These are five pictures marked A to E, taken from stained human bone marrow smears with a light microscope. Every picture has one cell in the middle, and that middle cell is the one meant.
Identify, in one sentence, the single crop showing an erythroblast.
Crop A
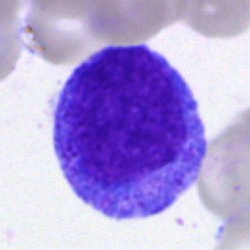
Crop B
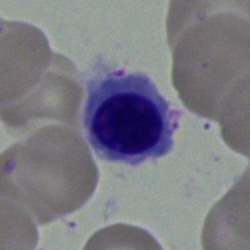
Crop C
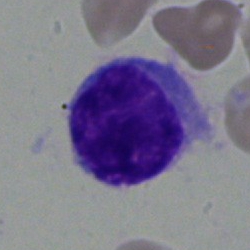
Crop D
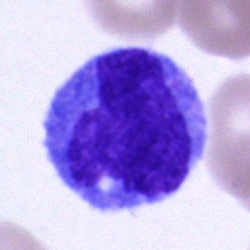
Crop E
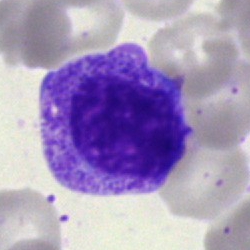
Crop B is where an erythroblast is to be found.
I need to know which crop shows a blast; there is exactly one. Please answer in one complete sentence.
The crop that has a blast in the middle is crop A.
